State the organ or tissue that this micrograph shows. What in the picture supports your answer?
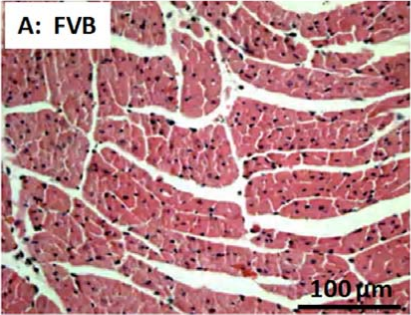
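Tightly packed pink-stained muscle cells grouped into bundles. Bundles separated by pale clefts. Small dark nuclei scattered among the muscle cells.
Myocardium.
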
